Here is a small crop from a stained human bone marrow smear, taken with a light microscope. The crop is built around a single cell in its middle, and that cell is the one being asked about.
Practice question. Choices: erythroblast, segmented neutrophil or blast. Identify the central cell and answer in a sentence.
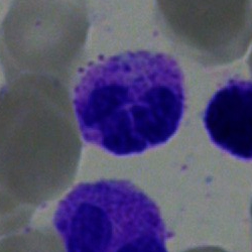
This crop is built around a segmented neutrophil at its centre.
